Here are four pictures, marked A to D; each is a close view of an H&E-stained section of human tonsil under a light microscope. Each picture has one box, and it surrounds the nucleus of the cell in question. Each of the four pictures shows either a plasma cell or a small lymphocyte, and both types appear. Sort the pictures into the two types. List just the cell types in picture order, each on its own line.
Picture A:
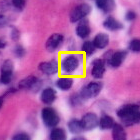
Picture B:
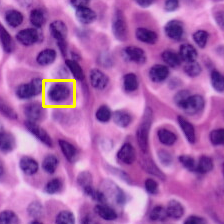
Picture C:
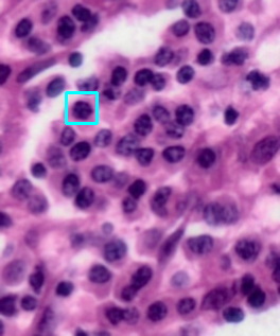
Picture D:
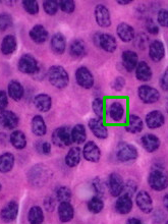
small lymphocyte
plasma cell
plasma cell
plasma cell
